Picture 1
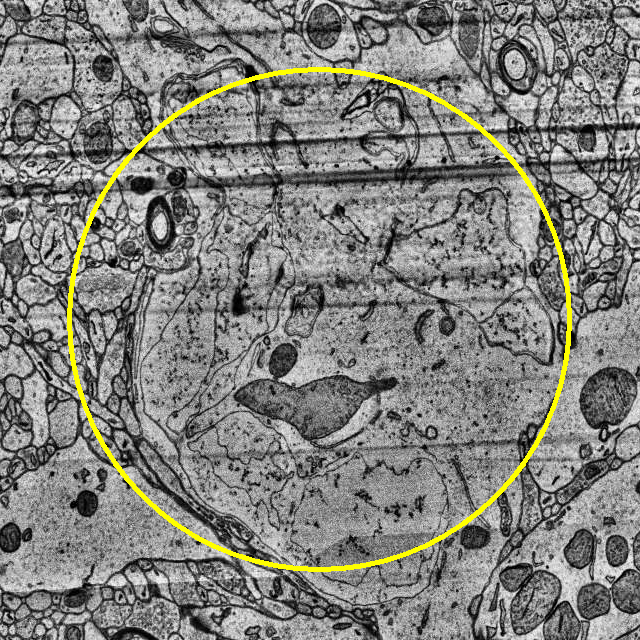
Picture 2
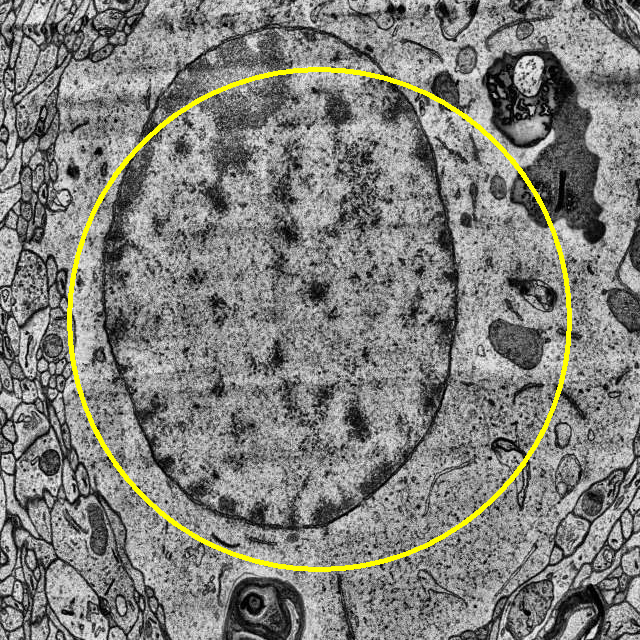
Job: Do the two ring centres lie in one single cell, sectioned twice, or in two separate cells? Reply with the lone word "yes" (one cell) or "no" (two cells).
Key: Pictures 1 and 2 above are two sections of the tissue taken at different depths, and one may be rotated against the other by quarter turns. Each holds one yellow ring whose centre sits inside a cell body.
no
